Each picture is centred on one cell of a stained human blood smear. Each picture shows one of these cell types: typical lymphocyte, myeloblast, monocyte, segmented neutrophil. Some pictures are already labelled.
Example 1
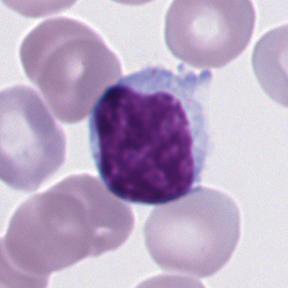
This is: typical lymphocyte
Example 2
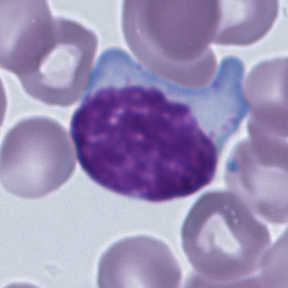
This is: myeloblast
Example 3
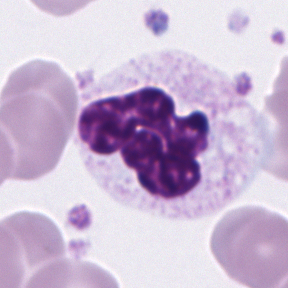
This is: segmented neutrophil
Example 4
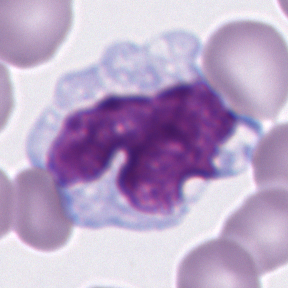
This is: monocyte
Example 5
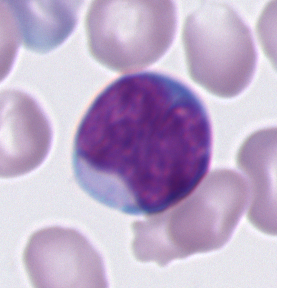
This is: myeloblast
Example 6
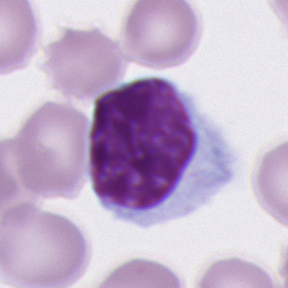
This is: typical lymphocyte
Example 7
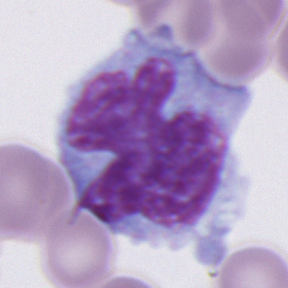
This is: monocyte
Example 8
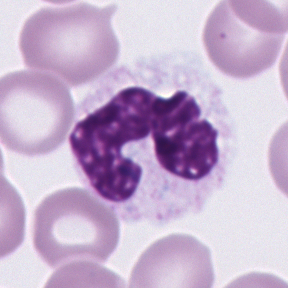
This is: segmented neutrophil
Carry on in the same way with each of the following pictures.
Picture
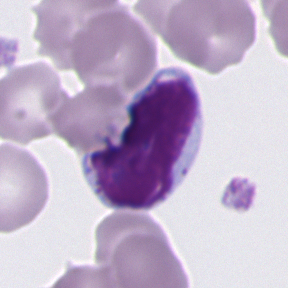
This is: typical lymphocyte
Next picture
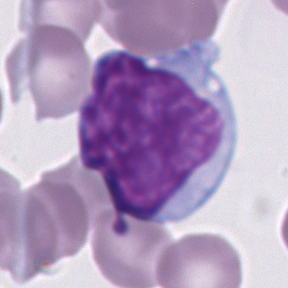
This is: myeloblast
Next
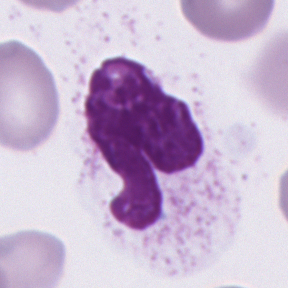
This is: segmented neutrophil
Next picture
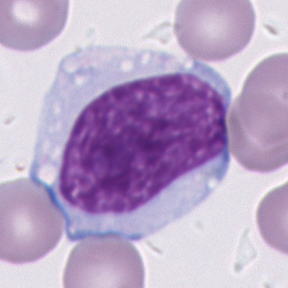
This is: myeloblast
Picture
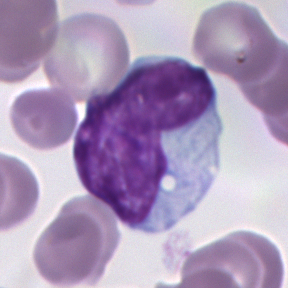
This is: myeloblast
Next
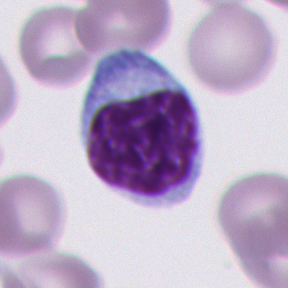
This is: typical lymphocyte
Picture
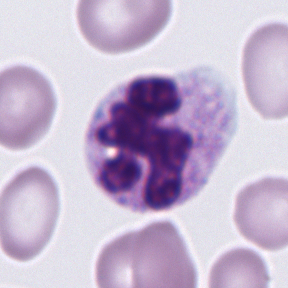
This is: segmented neutrophil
